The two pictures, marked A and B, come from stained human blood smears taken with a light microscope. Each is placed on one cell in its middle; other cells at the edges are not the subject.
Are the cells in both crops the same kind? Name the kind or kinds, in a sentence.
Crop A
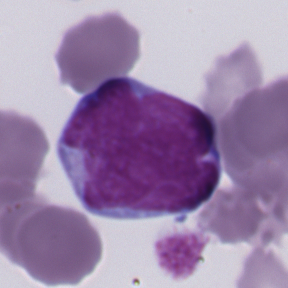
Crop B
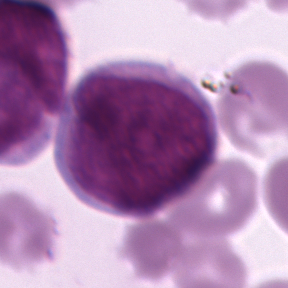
Yes, the pair of crops both show myeloblasts.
